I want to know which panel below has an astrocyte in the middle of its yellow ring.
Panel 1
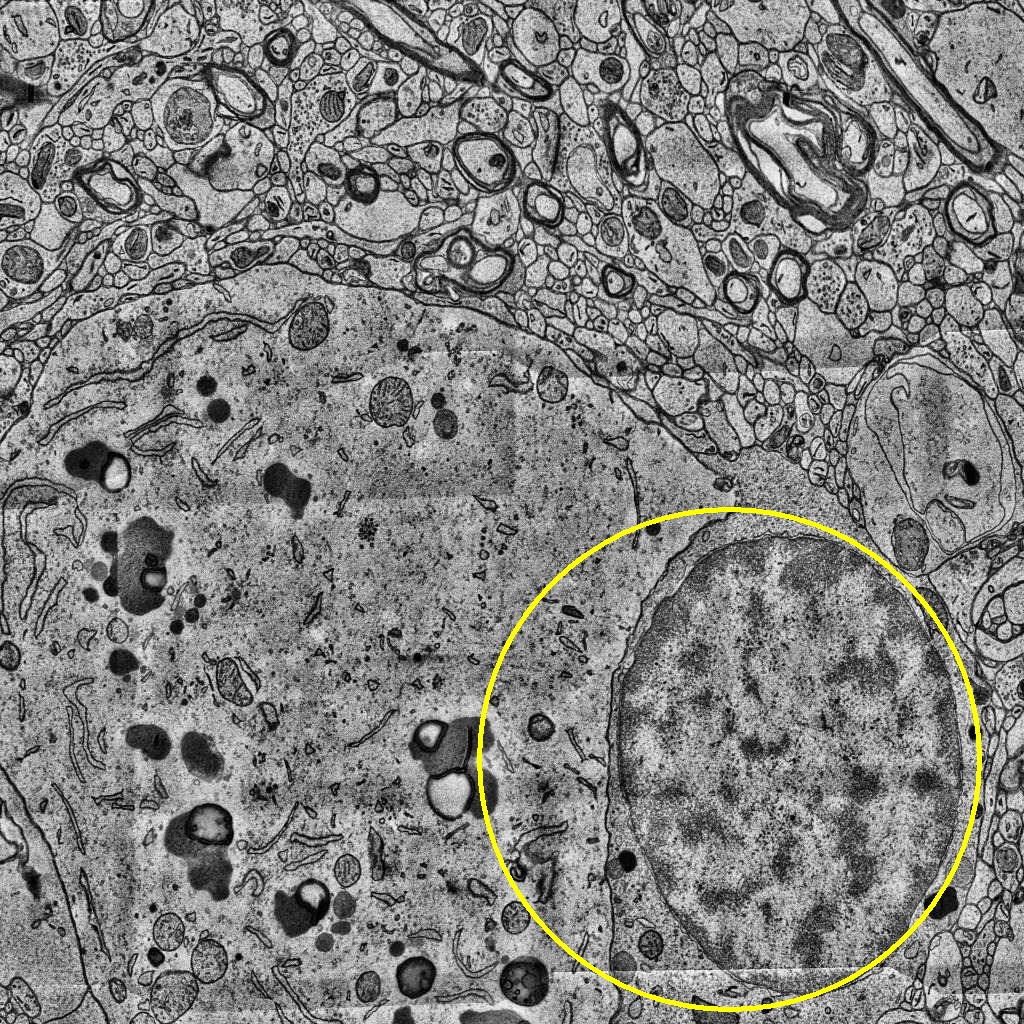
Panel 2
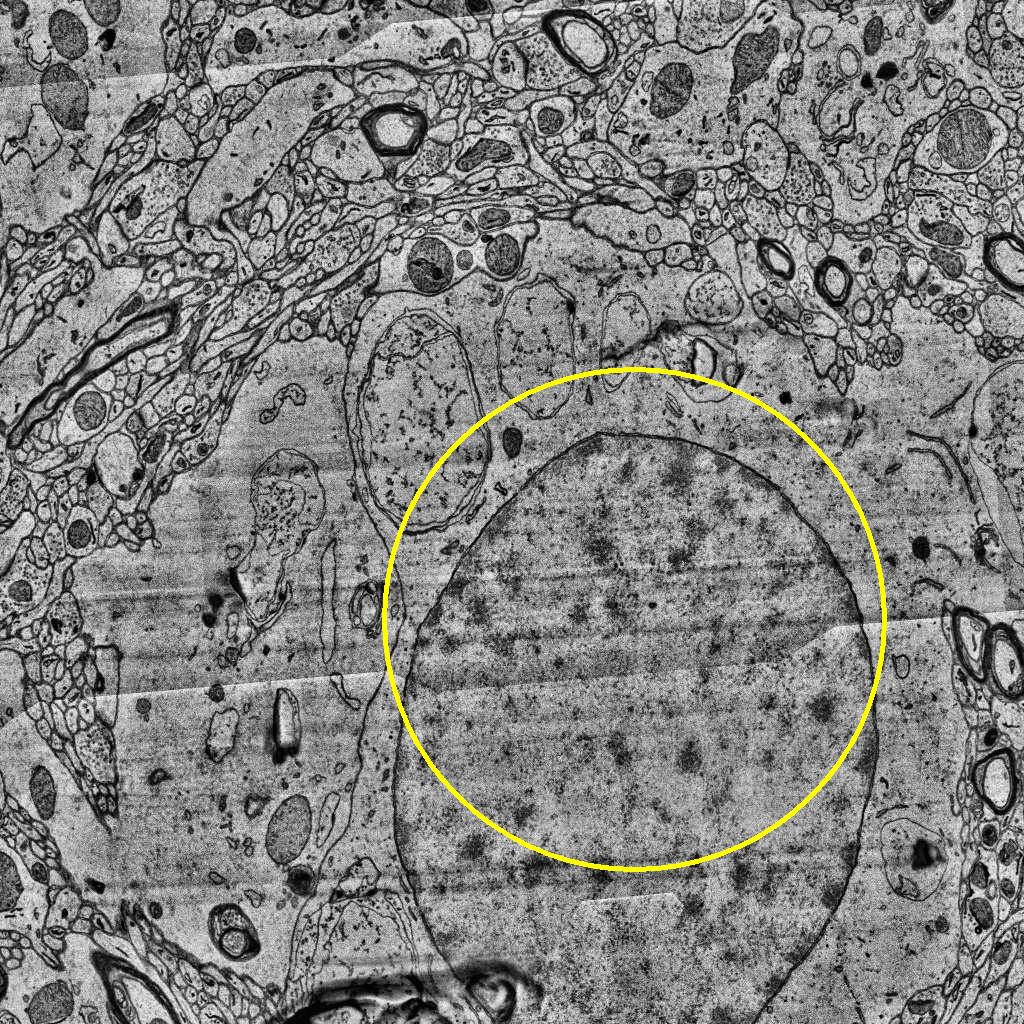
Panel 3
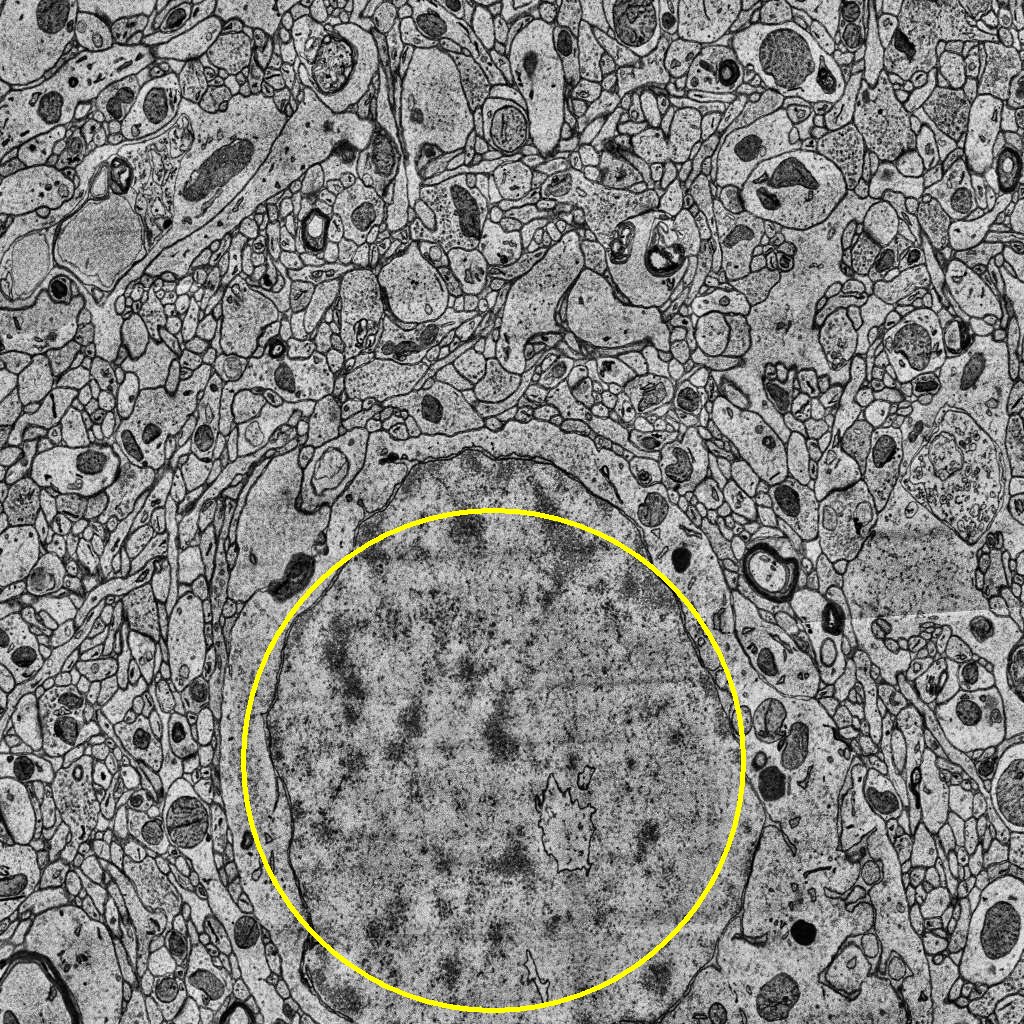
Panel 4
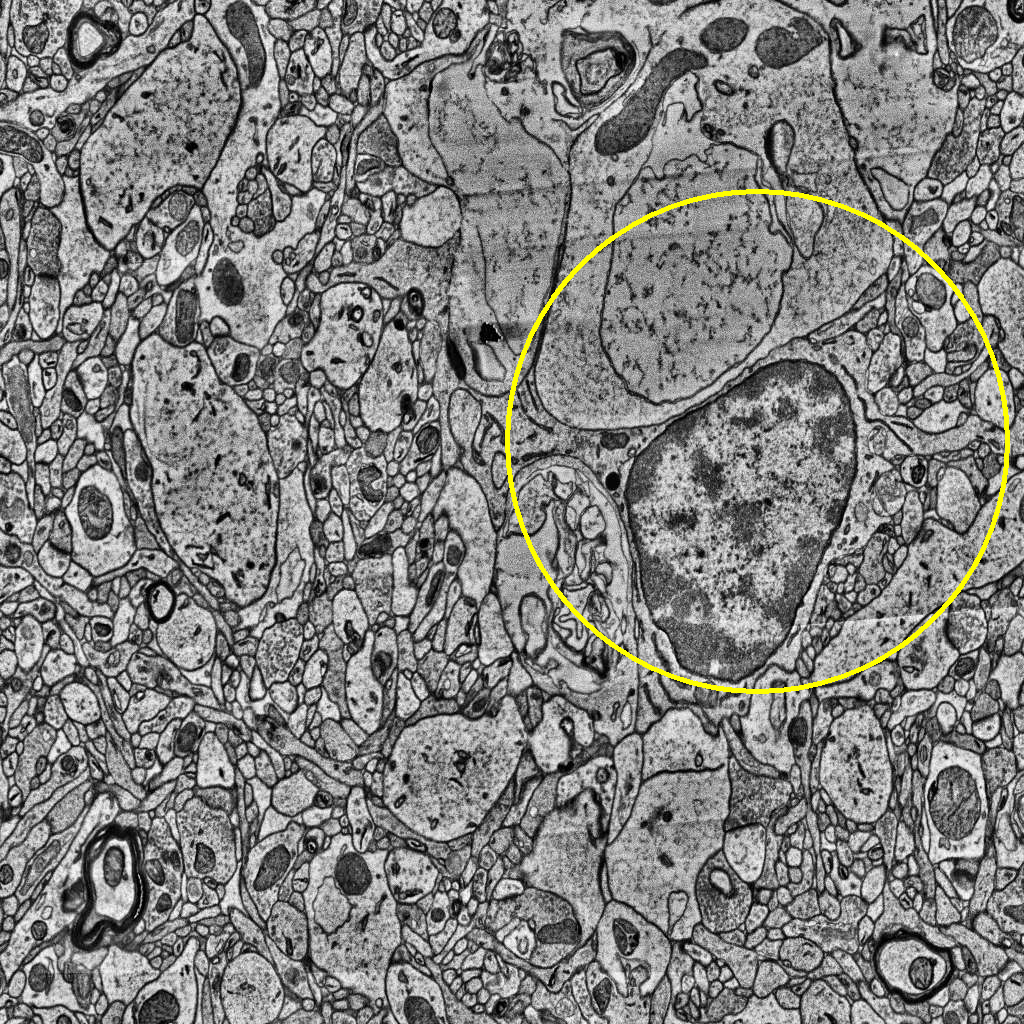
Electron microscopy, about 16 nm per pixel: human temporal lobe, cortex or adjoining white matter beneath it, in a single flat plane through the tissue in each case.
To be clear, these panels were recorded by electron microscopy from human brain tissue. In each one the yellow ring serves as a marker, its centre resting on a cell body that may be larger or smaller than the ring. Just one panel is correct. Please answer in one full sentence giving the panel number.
Panel 2 has the requested cell sitting at the centre of its ring.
